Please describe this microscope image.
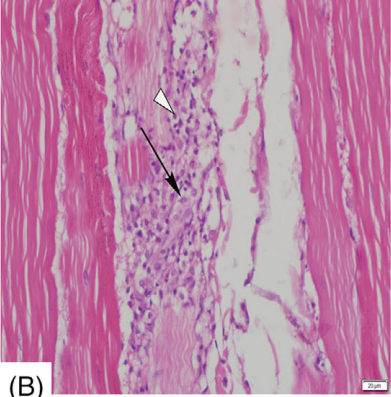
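Between longitudinally cut pink skeletal muscle fibers lies a dense band of mononuclear inflammatory cells. Many have small, round, dark-purple nuclei with little cytoplasm, typical of lymphocytes, while others are larger with paler, somewhat vacuolated cytoplasm, as macrophages look. The infiltrate fills the interstitial space and borders paler, disrupted fiber material. The fibers on either side keep their pink striated texture, and to the right an open clear space runs alongside the infiltrate.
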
